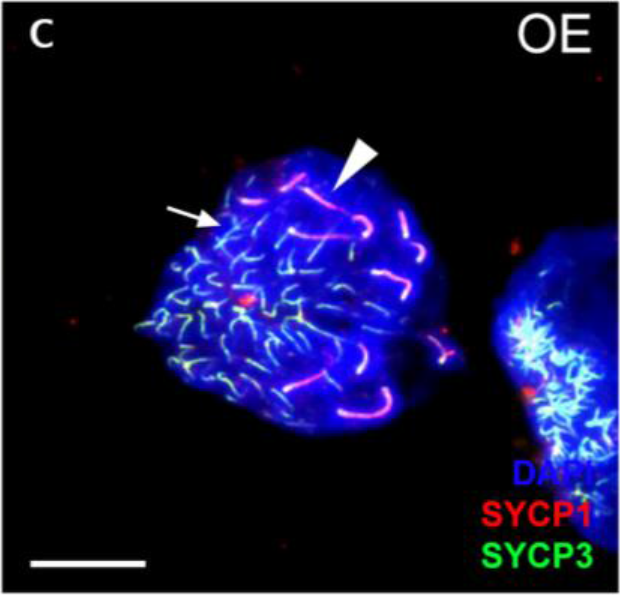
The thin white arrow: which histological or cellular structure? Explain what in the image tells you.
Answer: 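The marked thread is thin and green, without red along it. Many similar short thin green threads lie in the nucleus.
Conclusion: univalents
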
